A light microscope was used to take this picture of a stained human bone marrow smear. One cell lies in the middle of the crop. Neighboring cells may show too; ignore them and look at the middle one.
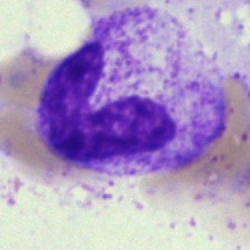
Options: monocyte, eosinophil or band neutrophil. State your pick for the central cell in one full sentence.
Classified as a band neutrophil is the cell in the middle of this crop.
